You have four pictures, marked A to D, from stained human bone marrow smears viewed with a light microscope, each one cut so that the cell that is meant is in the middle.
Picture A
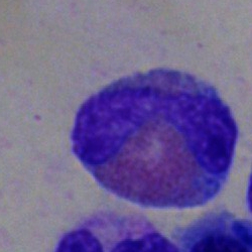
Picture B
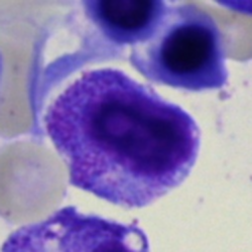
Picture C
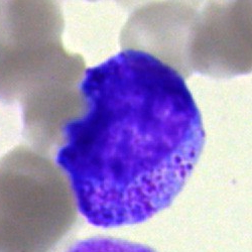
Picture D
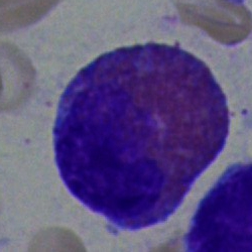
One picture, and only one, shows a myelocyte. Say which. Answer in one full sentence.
Picture B shows the myelocyte.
